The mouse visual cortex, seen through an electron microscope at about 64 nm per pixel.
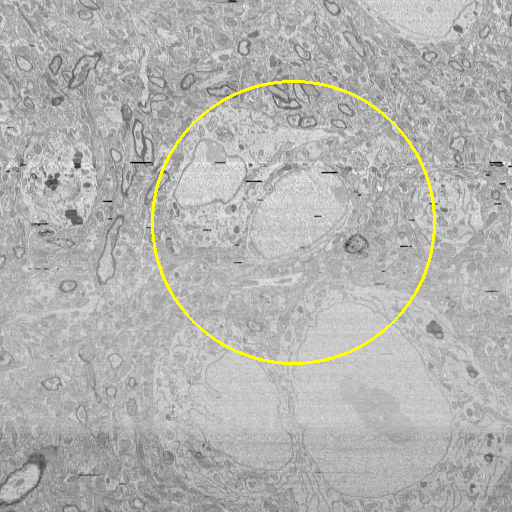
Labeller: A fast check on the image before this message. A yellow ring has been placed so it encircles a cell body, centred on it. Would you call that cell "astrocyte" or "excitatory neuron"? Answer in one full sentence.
In this image, an astrocyte is the cell on which the yellow ring is centred.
